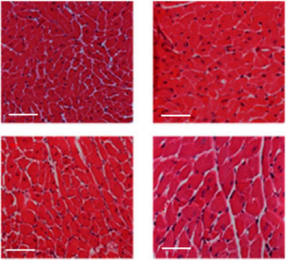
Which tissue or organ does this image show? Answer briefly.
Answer: Heart tissues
